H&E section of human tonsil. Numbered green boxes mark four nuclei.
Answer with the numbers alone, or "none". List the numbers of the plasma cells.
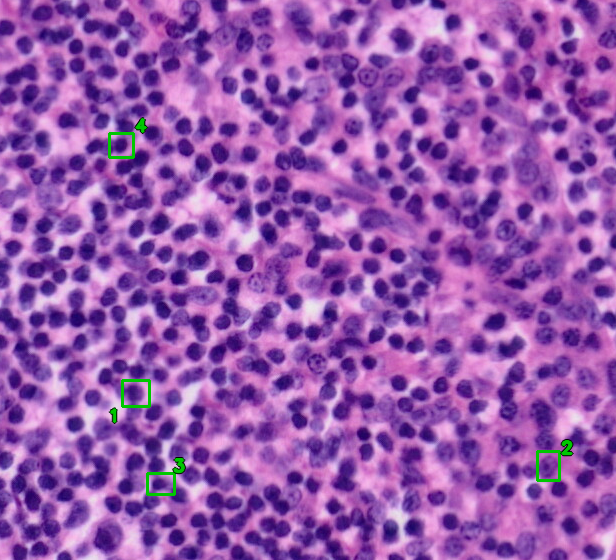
2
